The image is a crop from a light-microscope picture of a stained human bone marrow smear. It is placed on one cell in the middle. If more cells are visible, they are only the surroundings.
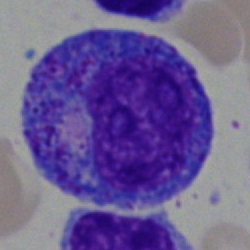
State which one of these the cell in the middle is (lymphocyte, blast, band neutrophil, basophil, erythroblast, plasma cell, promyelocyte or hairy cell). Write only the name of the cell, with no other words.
promyelocyte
